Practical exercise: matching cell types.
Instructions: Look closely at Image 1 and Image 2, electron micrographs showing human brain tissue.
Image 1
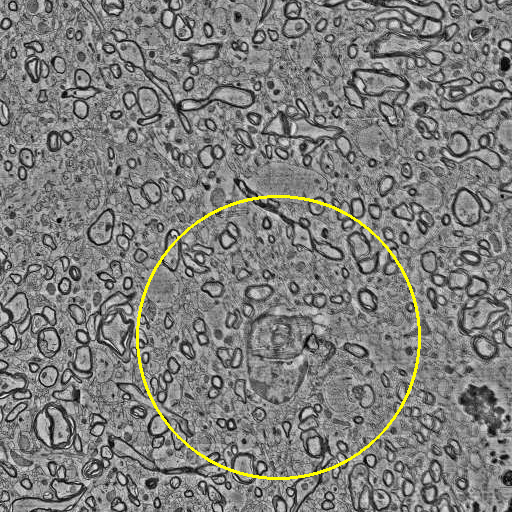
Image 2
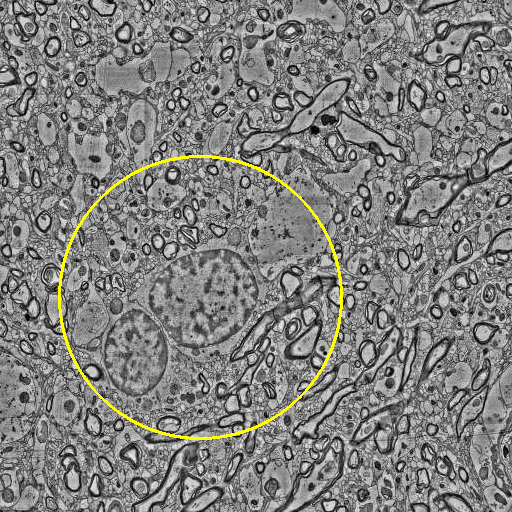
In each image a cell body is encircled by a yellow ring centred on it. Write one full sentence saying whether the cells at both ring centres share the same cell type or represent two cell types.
Across Image 1 and Image 2, the cells at the ring centres represent two cell types.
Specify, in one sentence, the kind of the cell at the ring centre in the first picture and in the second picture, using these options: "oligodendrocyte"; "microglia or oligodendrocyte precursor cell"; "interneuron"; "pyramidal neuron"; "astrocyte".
So the first is a microglial cell or oligodendrocyte precursor cell, the second an oligodendrocyte.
